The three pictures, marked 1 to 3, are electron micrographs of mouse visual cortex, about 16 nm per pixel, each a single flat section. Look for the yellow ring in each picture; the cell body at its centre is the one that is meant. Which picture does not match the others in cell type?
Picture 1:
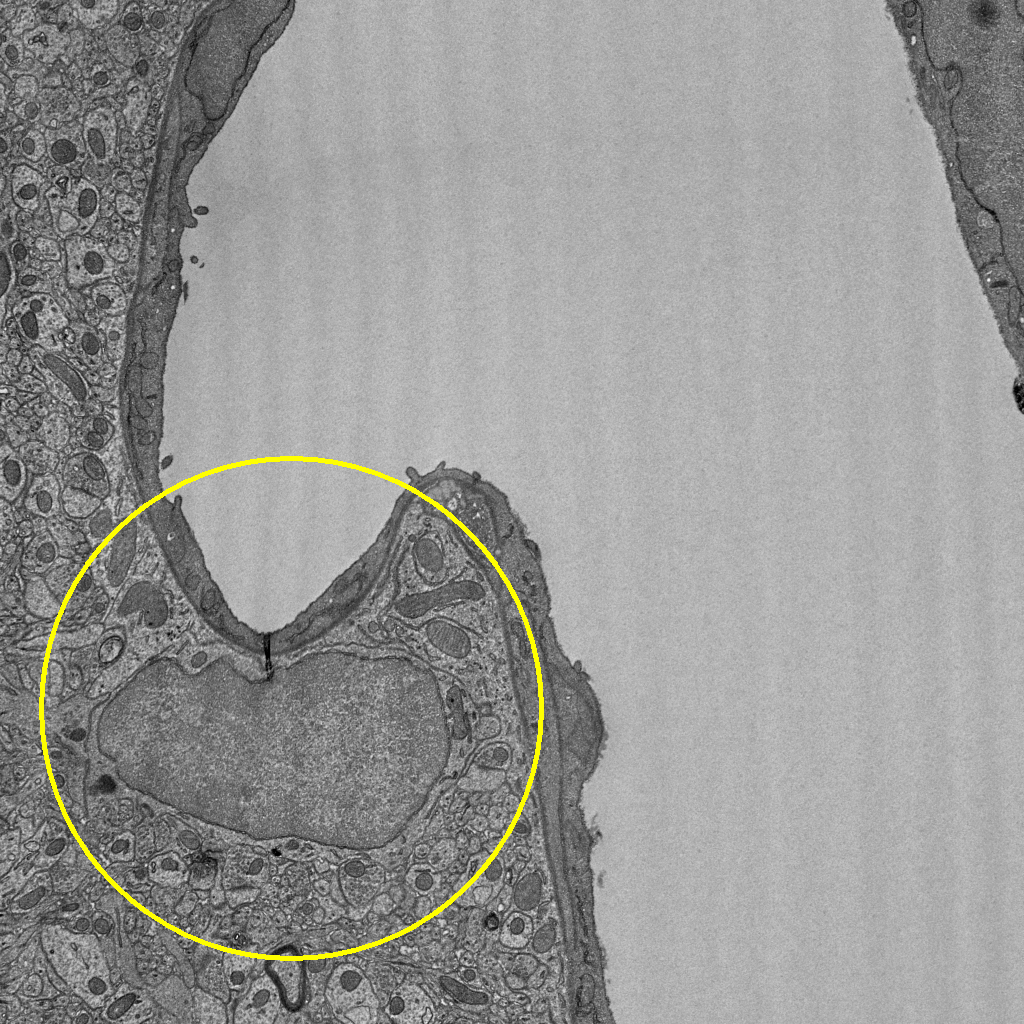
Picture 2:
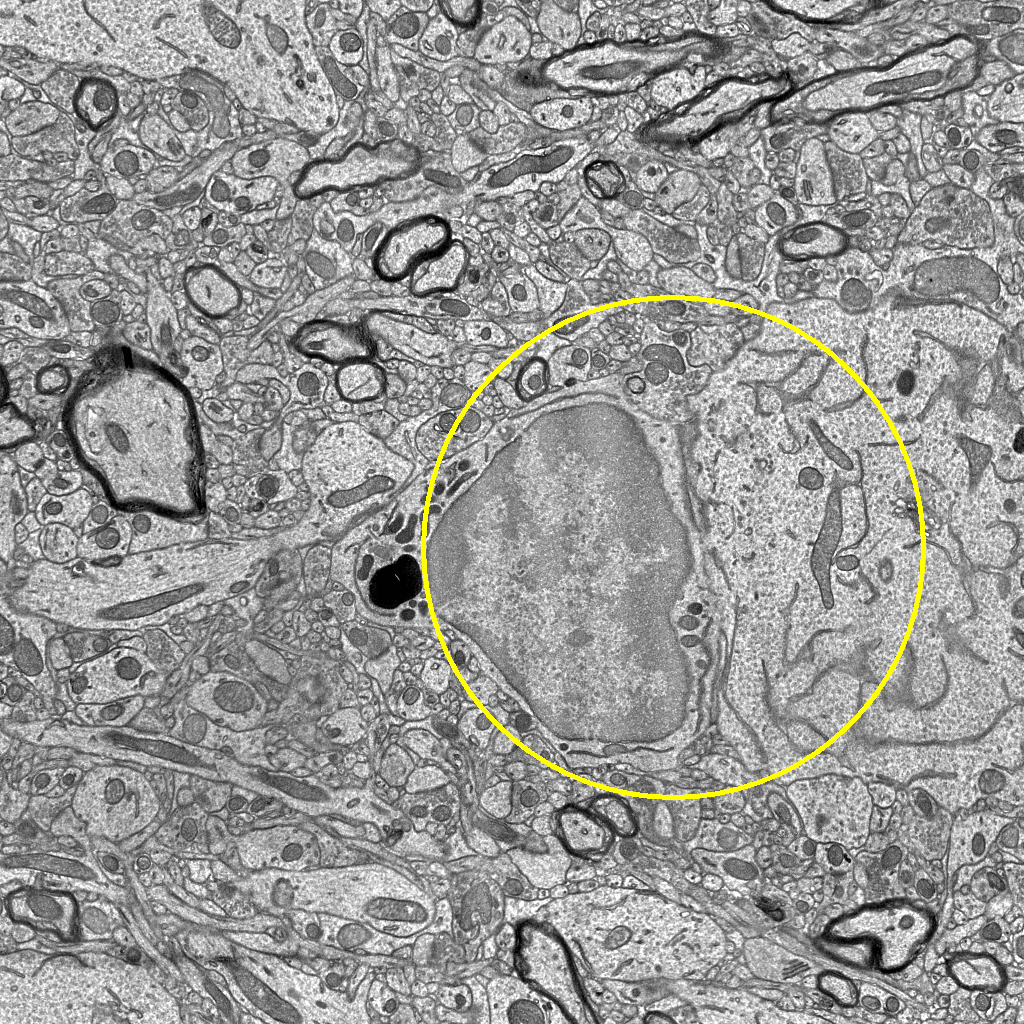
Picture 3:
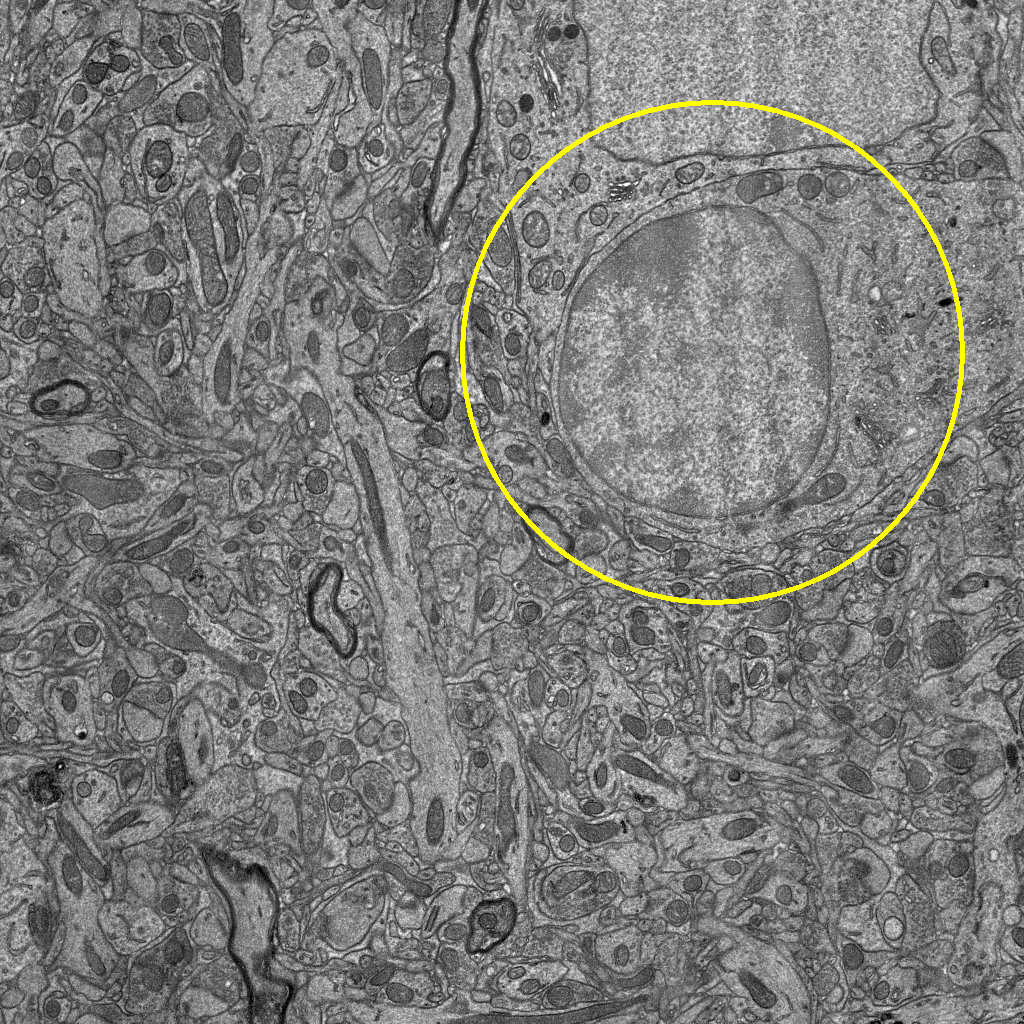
Unlike the rest, which show microglial cells, picture 3 shows an oligodendrocyte.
